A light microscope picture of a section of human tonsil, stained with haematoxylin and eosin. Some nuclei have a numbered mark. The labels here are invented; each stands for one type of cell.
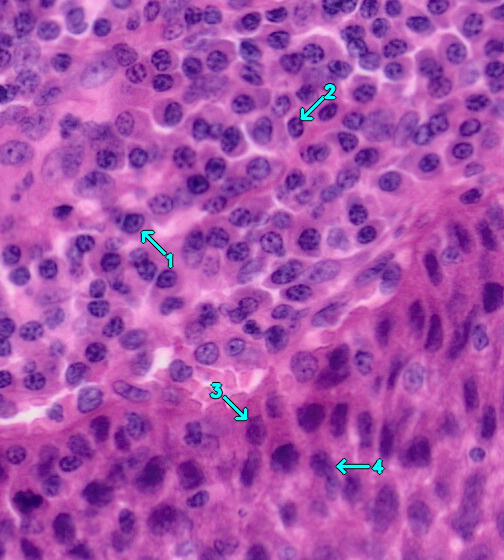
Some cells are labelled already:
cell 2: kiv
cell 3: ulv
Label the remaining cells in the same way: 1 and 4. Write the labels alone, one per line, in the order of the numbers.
kiv
ulv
